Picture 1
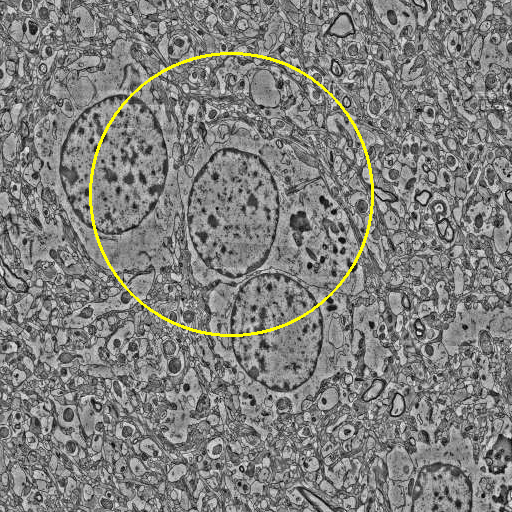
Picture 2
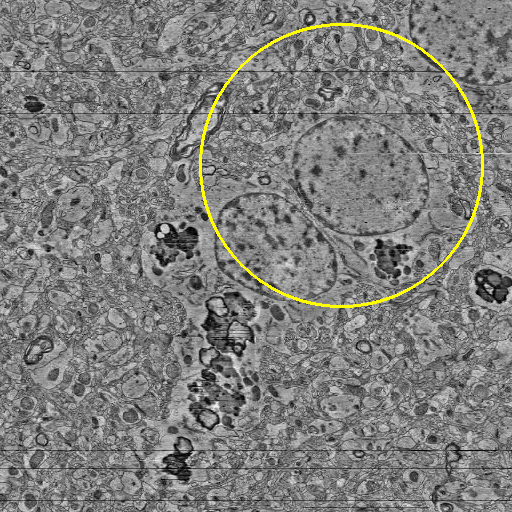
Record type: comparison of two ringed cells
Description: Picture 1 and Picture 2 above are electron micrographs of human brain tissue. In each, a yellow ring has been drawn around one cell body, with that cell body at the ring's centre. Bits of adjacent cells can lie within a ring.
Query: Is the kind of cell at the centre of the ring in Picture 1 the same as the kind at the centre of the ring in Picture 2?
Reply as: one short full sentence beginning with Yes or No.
Yes, the two ringed cells are of the same kind.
